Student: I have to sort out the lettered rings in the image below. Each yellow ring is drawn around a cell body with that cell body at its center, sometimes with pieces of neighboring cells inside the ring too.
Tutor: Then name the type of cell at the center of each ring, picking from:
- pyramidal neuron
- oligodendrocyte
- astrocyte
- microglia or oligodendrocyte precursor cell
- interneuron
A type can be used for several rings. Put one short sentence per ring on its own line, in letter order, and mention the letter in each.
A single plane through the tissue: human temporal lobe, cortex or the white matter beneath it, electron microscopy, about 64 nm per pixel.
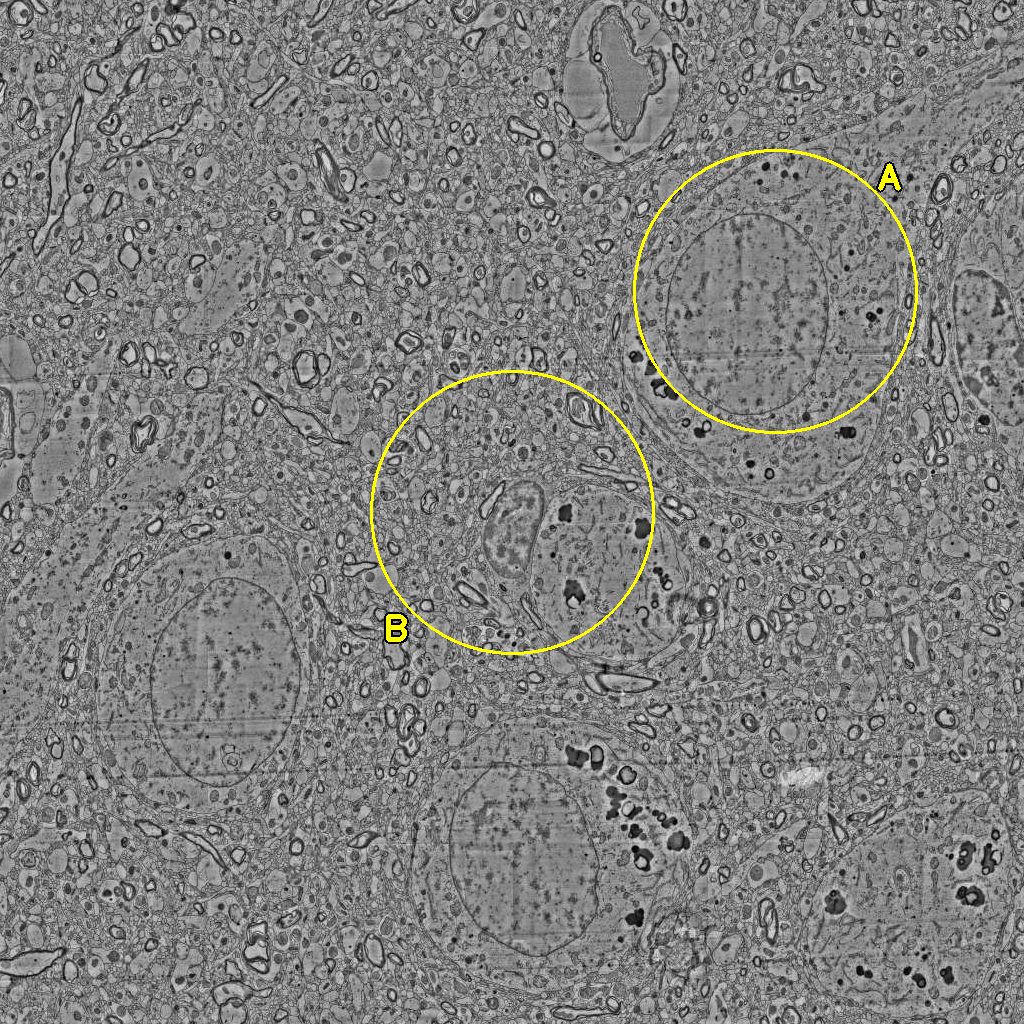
Inside ring A, at its center, is a pyramidal neuron.
Inside ring B, at its center, is an oligodendrocyte.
